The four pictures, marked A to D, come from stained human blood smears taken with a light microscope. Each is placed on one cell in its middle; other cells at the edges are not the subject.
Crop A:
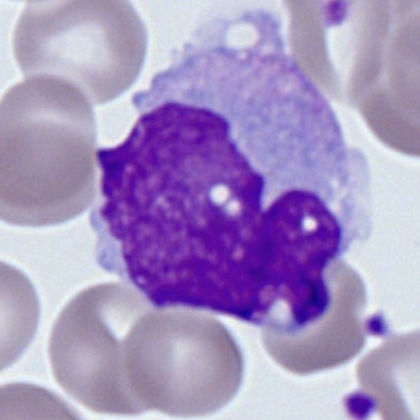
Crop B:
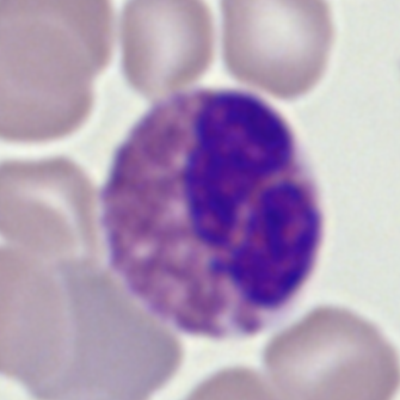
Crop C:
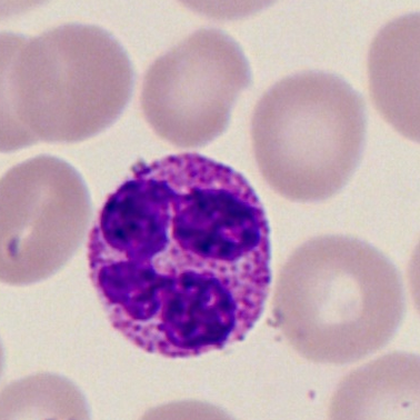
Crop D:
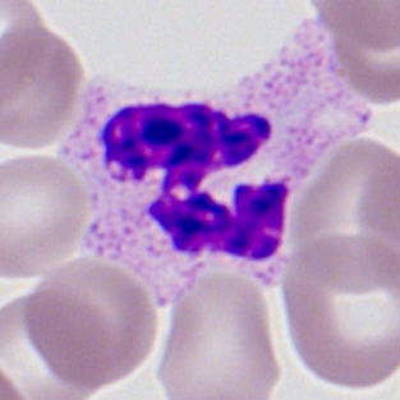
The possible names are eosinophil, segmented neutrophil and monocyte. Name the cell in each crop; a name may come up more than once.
A: monocyte
B: eosinophil
C: eosinophil
D: segmented neutrophil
